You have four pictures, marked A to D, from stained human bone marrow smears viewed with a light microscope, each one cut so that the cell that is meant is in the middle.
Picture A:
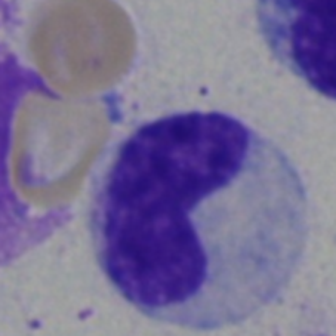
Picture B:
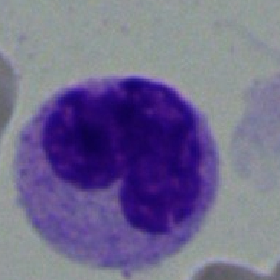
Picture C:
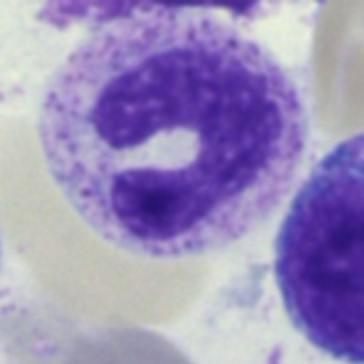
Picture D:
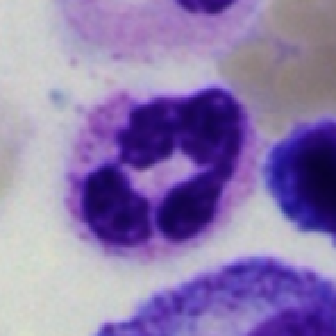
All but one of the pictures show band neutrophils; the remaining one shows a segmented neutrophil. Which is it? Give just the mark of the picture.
D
